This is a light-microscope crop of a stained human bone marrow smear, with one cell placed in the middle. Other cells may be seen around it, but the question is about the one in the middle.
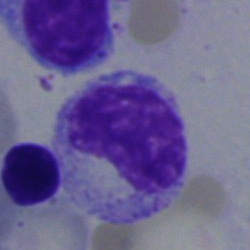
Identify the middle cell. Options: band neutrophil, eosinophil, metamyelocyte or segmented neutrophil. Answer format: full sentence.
Where the crop is centred, there is a metamyelocyte.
